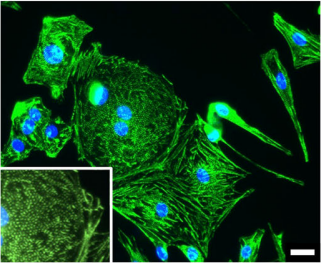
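The green filaments run through the cytoplasm as fibrous bundles. In the larger spread cells these bundles show a regular cross-striated, banded pattern, which the enlarged inset shows clearly. Each cell has one or a few round to oval blue nuclei near its centre.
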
